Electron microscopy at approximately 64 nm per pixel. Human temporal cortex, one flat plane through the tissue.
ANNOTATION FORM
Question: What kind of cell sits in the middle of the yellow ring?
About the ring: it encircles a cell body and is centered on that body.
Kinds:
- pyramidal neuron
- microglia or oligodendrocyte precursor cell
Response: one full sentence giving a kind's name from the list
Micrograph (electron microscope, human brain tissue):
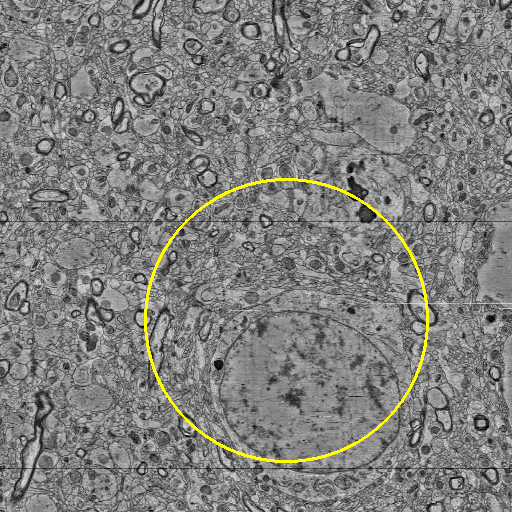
The kind of cell found at the center of the yellow ring in the micrograph is a pyramidal neuron.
